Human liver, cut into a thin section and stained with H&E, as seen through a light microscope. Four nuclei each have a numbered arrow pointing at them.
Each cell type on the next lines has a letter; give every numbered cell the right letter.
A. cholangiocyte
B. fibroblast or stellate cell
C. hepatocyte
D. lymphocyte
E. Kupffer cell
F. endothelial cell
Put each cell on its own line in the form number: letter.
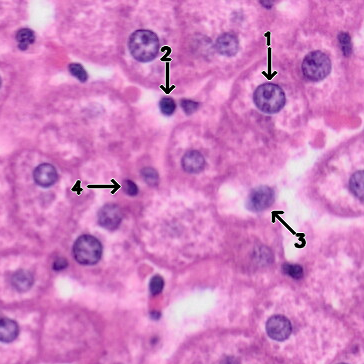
1: C
2: D
3: F
4: B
